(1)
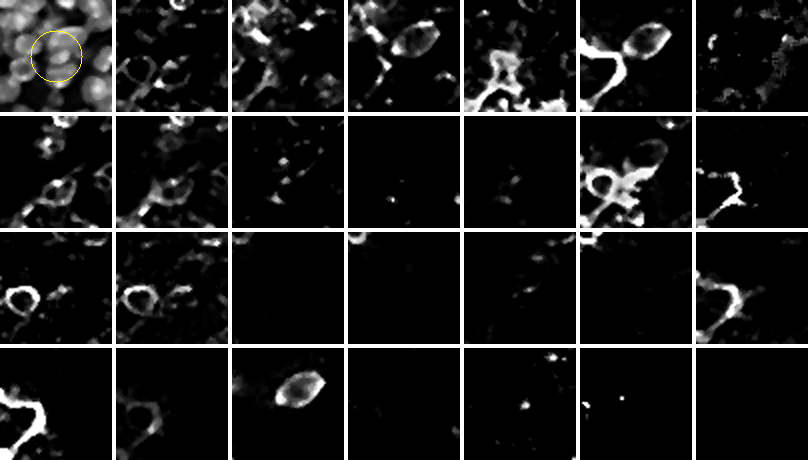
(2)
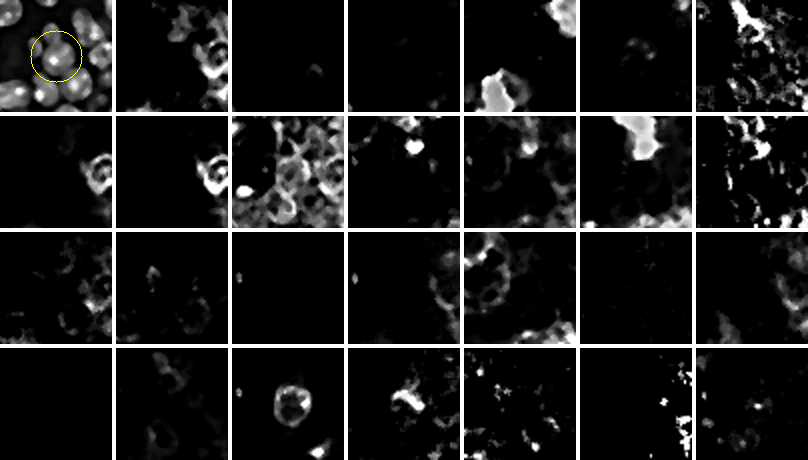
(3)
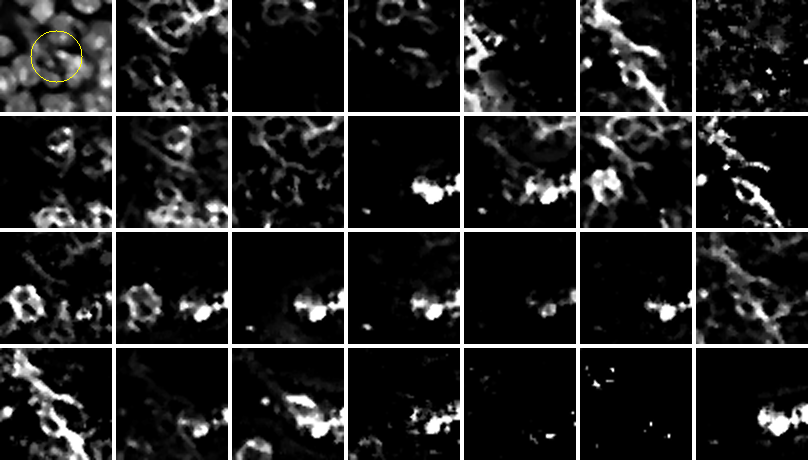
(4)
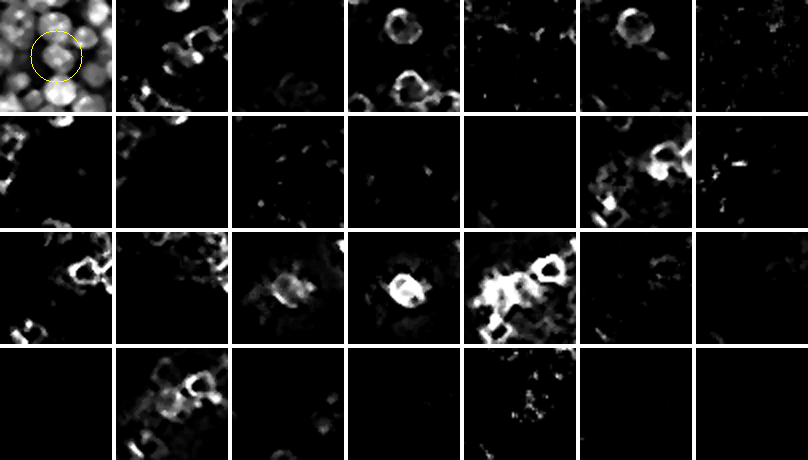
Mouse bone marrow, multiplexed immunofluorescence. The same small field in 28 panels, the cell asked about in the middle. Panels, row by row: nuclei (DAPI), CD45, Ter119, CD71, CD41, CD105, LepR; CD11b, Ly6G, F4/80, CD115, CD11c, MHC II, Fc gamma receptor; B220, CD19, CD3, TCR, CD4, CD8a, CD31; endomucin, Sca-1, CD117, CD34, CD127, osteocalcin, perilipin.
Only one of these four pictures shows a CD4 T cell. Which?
Picture 4.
